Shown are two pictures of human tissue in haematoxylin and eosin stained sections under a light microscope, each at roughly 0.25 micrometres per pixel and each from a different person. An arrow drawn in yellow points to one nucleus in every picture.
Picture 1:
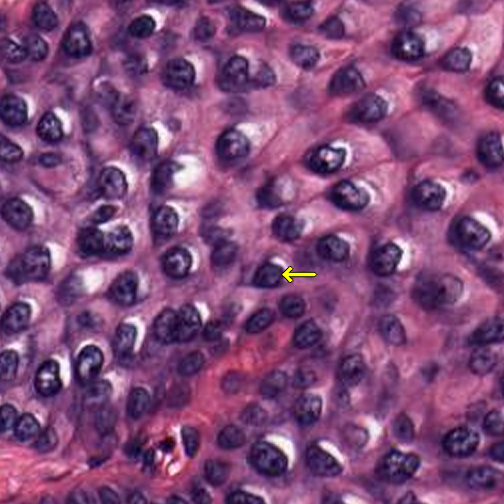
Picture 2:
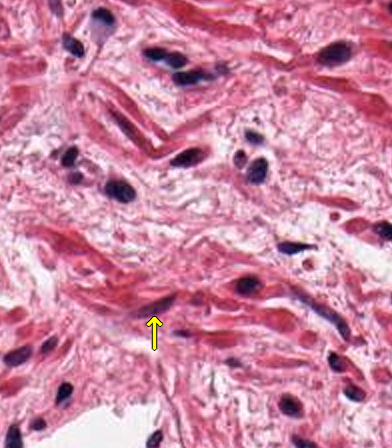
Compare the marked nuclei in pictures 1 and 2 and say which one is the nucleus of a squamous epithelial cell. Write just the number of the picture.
1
